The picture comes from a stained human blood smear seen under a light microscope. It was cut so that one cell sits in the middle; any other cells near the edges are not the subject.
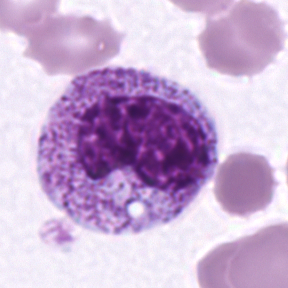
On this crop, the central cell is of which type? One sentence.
In short, the cell at the center is a metamyelocyte.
